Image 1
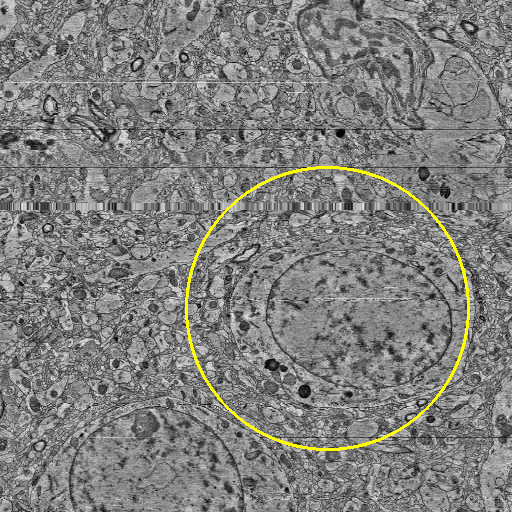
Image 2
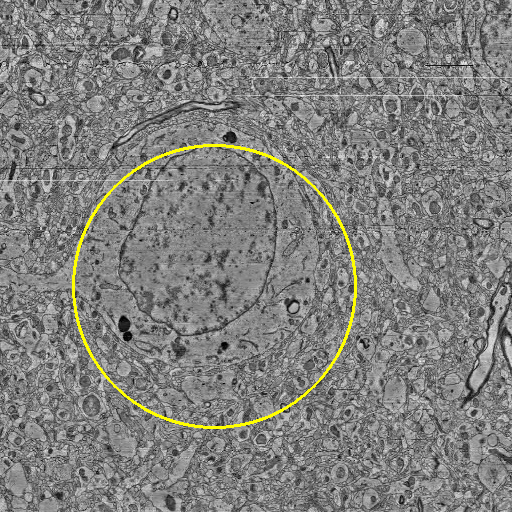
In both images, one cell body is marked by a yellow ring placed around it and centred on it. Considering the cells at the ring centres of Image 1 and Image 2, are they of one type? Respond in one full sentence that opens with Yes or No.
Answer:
Yes, a single type applies to the ring-centred cells of both Image 1 and Image 2.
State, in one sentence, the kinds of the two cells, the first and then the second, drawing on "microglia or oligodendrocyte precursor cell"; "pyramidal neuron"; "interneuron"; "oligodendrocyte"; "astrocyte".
Each cell at the centre of a ring is a pyramidal neuron.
